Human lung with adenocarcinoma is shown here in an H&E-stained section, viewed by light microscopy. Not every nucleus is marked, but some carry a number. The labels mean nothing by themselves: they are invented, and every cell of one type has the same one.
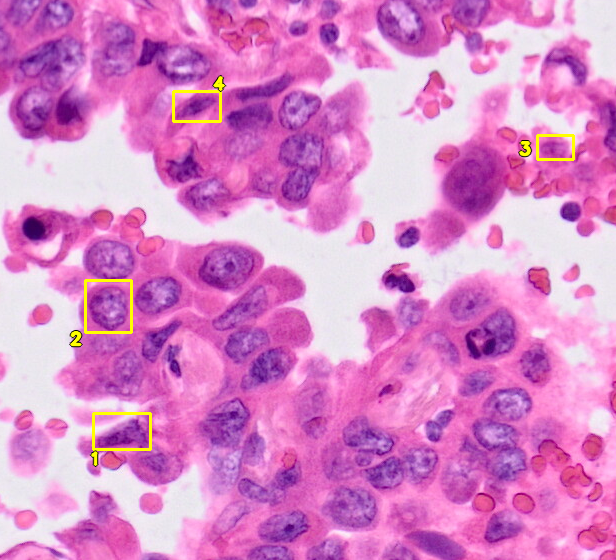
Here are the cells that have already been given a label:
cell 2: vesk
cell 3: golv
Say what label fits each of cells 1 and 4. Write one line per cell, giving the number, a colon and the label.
1: vesk
4: vesk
